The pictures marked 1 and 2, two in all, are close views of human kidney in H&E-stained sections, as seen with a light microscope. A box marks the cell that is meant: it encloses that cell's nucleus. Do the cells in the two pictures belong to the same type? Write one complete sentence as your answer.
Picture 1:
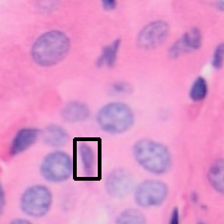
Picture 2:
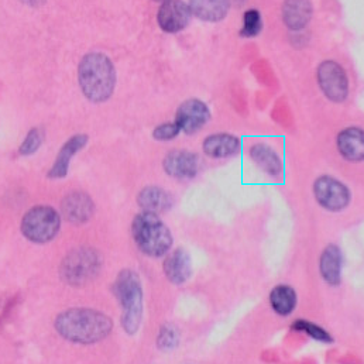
Yes, both are collecting duct cells.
